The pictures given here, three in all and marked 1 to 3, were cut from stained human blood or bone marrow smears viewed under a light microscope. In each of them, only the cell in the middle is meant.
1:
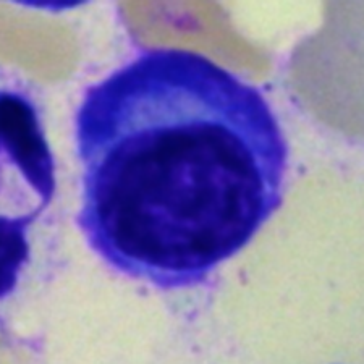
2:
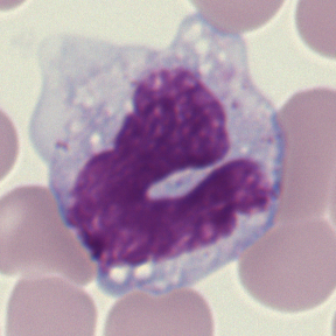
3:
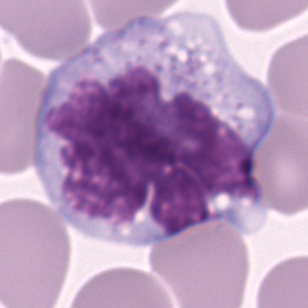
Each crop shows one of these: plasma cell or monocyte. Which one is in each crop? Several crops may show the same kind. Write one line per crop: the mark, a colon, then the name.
1: plasma cell
2: monocyte
3: monocyte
